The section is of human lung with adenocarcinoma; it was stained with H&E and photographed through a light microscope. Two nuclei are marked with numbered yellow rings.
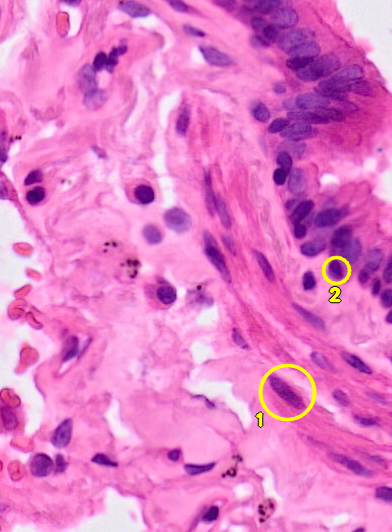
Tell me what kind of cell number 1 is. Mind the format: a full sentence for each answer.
Numbered cell 1 is a smooth muscle cell or pericyte in this tissue section.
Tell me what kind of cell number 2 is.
Looking at the numbered marks, cell 2 is a ciliated epithelial cell.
